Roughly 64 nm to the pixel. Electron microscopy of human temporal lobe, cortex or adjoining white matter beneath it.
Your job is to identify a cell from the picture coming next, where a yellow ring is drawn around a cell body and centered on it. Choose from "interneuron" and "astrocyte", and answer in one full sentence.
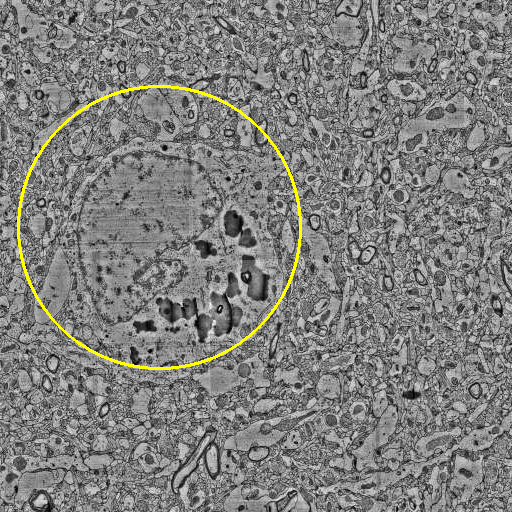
Centered in the yellow ring of the picture is the body of an interneuron.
